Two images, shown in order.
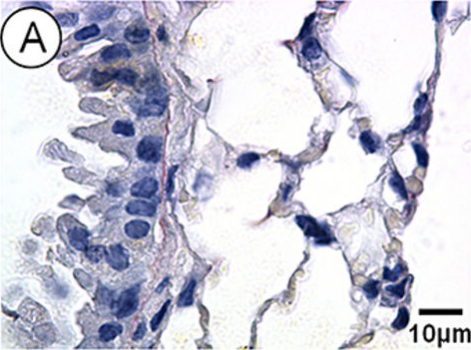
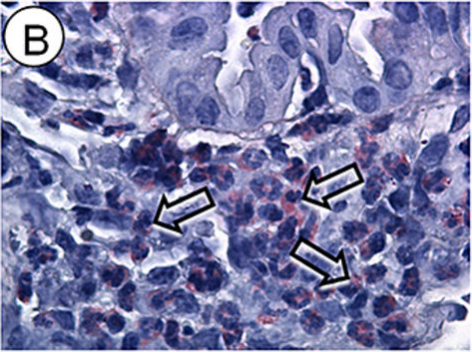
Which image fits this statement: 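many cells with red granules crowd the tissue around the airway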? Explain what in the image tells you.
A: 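First image: the thin tissue beside the airway epithelium holds few cells and no red-granulated ones. Second image: the tissue beneath the epithelium is densely packed with cells bearing red granules.
Conclusion: the second image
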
